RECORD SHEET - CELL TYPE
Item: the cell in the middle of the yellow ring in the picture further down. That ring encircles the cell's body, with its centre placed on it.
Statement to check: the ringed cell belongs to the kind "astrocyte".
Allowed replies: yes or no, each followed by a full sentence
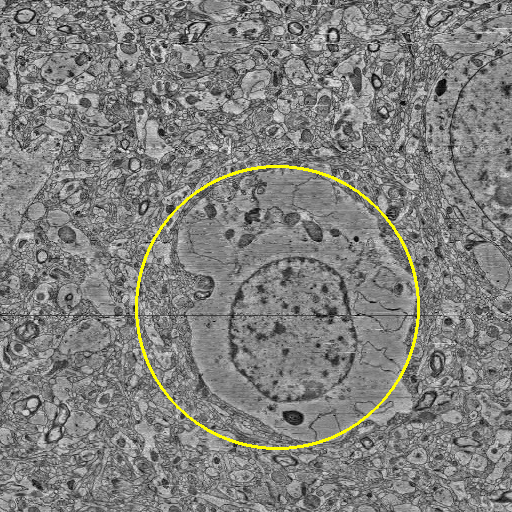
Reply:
Yes, the cell held at the centre of the ring in the picture is of that kind.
